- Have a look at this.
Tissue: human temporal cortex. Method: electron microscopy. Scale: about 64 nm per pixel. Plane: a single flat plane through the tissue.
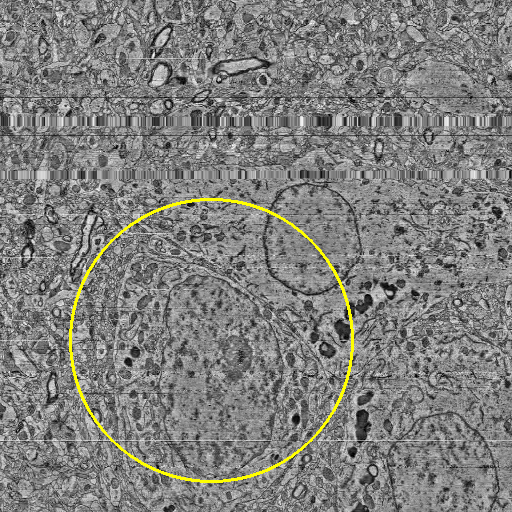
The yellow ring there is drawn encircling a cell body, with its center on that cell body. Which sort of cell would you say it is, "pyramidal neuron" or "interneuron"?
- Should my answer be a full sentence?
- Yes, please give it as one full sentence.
For this picture, an interneuron is the cell where the yellow ring has its center.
